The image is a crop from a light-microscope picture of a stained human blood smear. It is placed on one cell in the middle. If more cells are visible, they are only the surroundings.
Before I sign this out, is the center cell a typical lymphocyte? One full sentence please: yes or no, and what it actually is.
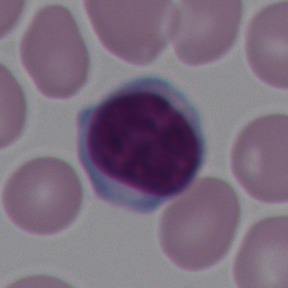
Yes, the cell in the middle of the crop is a typical lymphocyte.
